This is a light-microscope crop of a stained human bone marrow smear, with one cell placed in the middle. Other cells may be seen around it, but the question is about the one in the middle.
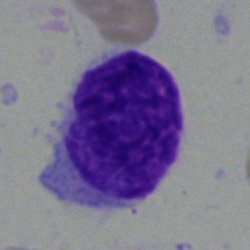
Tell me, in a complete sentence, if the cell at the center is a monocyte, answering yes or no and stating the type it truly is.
No, what the centre of the crop shows is a hairy cell, not a monocyte.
